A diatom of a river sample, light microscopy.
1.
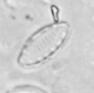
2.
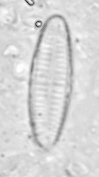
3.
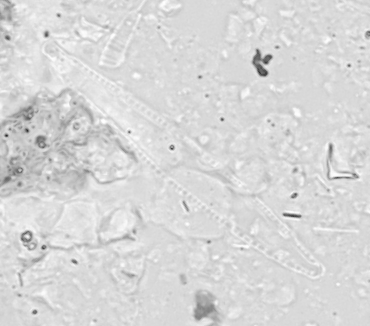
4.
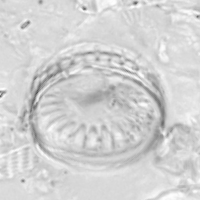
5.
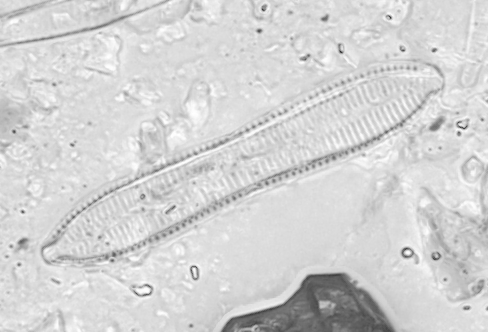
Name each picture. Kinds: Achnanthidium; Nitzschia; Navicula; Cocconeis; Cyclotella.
1. Nitzschia
2. Achnanthidium
3. Nitzschia
4. Cyclotella
5. Cocconeis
